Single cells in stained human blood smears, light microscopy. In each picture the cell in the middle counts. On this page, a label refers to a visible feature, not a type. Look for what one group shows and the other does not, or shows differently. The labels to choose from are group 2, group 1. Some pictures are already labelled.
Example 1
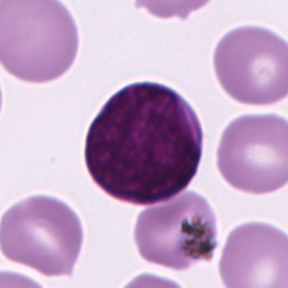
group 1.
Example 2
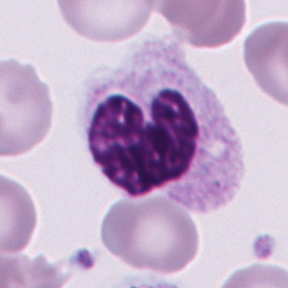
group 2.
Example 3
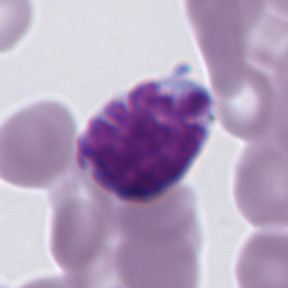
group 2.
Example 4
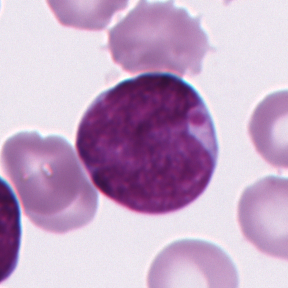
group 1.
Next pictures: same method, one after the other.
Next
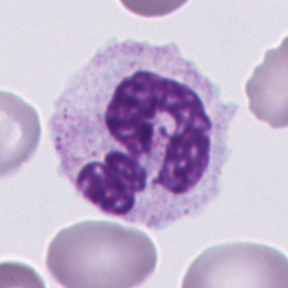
group 2.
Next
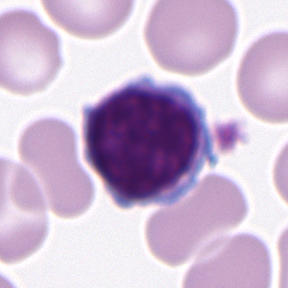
group 2.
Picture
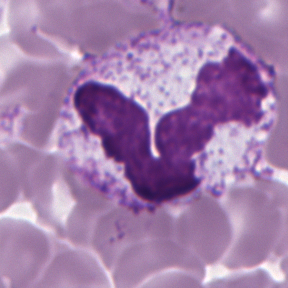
group 2.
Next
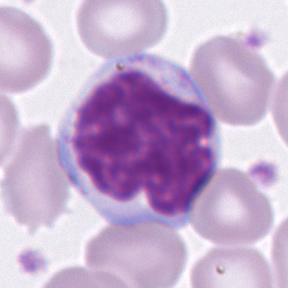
group 1.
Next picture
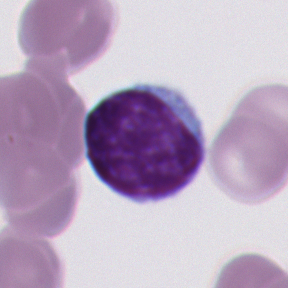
group 1.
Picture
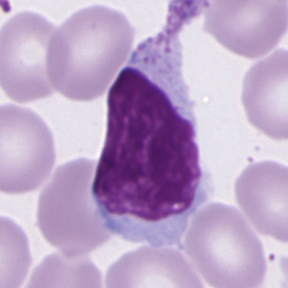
group 2.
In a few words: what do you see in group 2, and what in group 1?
In group 2: ragged outline or projections. In group 1: smooth outline.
